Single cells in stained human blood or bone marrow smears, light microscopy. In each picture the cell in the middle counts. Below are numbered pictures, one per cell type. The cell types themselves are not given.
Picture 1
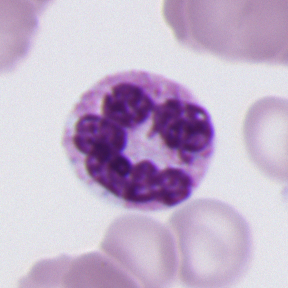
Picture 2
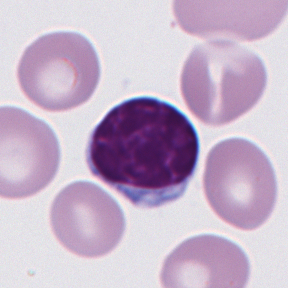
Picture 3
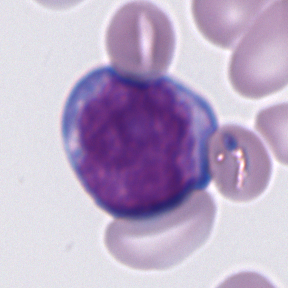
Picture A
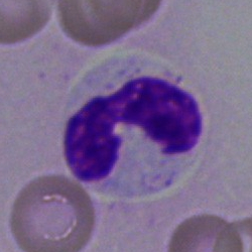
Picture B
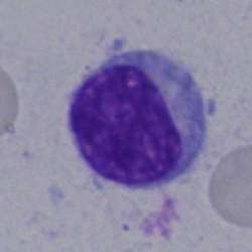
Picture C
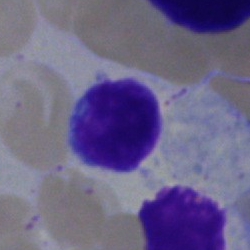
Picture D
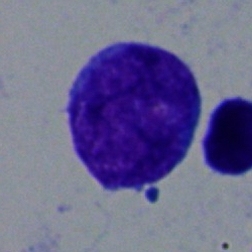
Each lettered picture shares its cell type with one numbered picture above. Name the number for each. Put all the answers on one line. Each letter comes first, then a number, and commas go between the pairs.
A 1, B 2, C 2, D 3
